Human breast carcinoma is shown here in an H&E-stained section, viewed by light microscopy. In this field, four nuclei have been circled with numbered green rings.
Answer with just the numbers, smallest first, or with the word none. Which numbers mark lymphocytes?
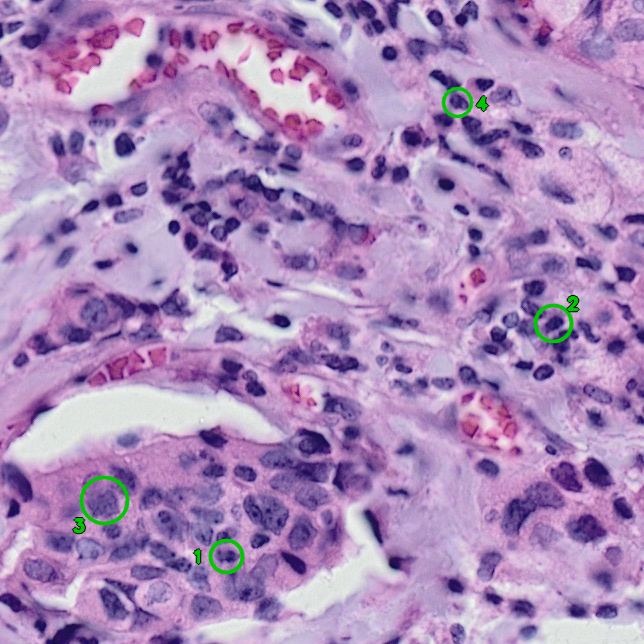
1, 2, 4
